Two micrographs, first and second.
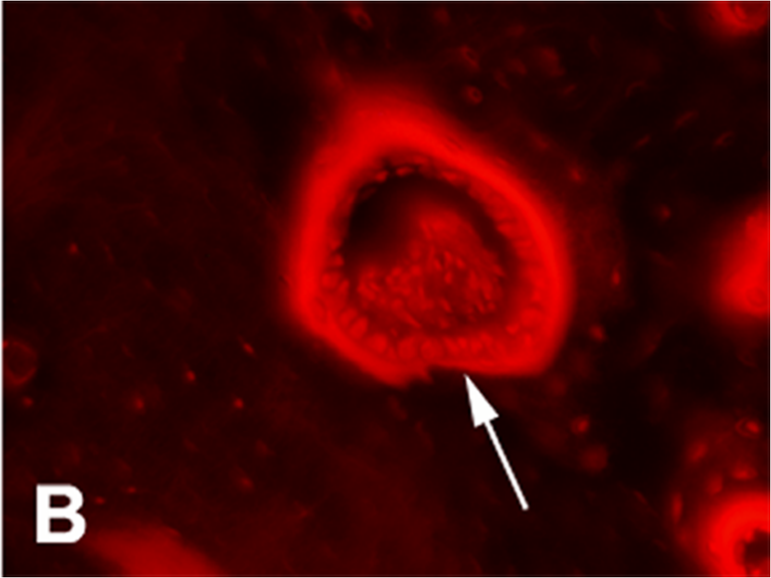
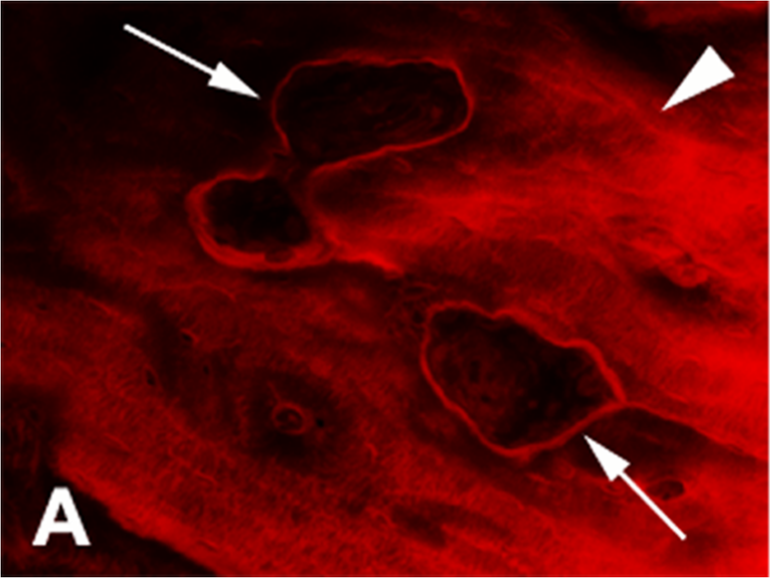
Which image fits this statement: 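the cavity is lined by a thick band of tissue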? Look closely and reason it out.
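First image: a broad, bright red band surrounds the cavity. Second image: the cavities are outlined only by a thin red line.
The first image.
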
